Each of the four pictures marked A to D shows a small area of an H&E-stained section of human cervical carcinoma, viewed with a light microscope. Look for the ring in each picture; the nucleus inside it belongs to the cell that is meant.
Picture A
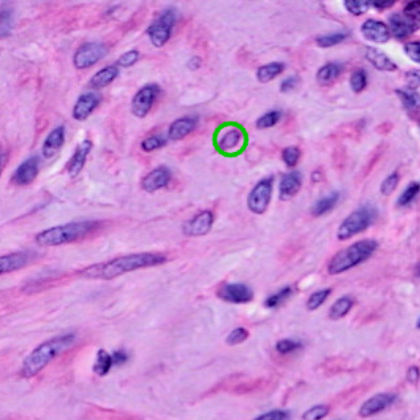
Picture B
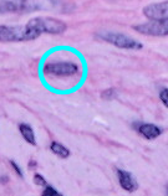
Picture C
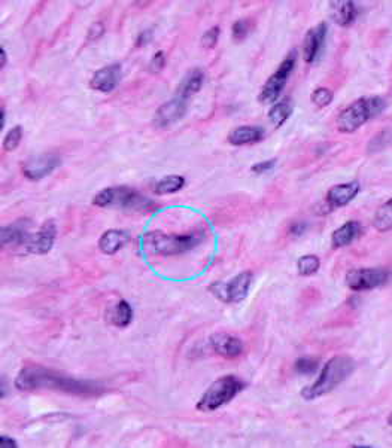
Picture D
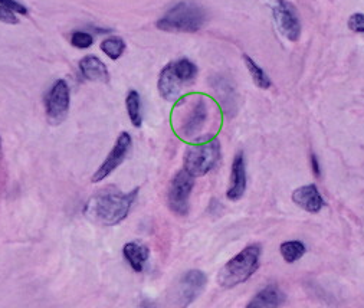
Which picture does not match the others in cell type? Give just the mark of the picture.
D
